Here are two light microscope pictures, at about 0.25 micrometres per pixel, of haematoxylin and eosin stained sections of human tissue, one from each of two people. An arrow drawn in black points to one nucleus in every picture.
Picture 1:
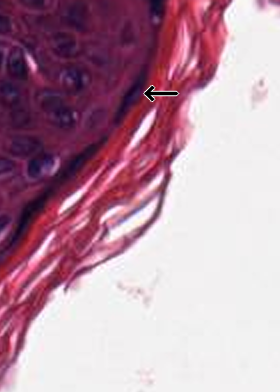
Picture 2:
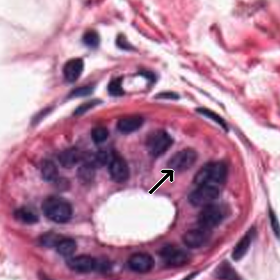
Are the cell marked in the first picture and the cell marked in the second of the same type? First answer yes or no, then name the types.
No, the first is a keratinocyte and the second a sweat gland cell.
